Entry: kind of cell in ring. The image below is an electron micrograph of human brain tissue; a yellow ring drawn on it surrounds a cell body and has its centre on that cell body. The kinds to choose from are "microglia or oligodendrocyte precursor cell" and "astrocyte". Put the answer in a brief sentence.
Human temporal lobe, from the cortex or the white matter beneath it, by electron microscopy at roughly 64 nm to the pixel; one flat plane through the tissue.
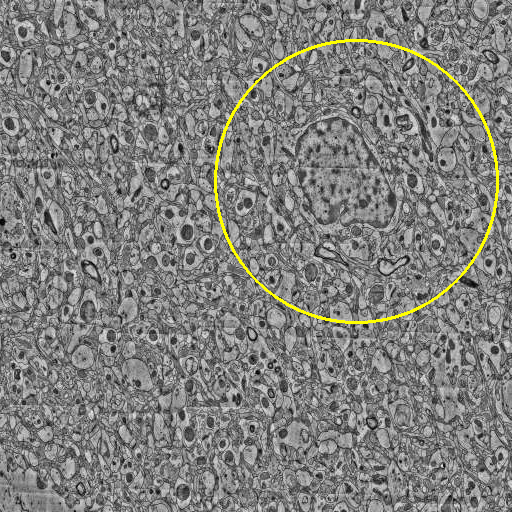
The ring has been drawn around a microglial cell or oligodendrocyte precursor cell.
